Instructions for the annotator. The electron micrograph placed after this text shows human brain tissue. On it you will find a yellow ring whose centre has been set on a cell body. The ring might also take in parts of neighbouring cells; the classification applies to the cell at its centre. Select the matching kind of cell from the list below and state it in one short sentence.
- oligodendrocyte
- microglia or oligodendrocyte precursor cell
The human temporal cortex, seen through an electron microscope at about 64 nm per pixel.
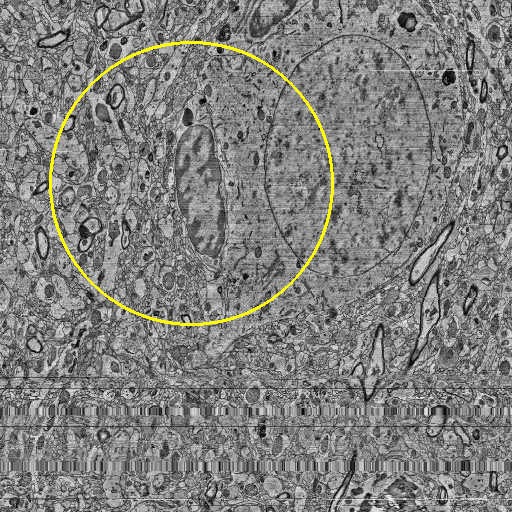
The ring is drawn on the cell body of a microglial cell or oligodendrocyte precursor cell.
